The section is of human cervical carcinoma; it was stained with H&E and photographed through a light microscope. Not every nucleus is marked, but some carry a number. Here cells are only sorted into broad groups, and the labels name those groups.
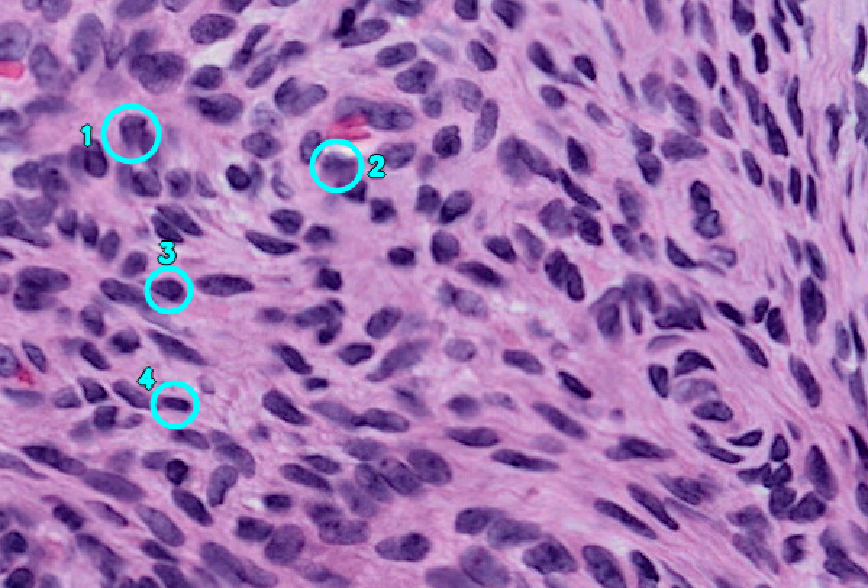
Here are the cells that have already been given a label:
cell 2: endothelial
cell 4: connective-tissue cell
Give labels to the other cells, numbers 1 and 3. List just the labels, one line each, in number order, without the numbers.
connective-tissue cell
connective-tissue cell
